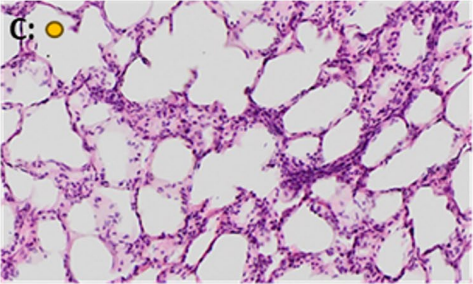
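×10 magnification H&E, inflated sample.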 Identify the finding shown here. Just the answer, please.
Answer: Increased inflammatory cellularity and oedema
